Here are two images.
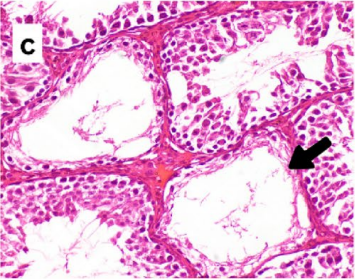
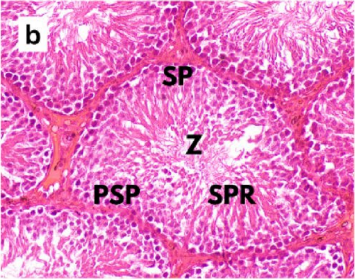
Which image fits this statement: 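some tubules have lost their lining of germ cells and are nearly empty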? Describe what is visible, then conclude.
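First image: several tubules show wide empty lumina with only a thin rim of cells. Second image: the tubule is filled by a thick, layered epithelium with tails in the centre.
Hence: the first image.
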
